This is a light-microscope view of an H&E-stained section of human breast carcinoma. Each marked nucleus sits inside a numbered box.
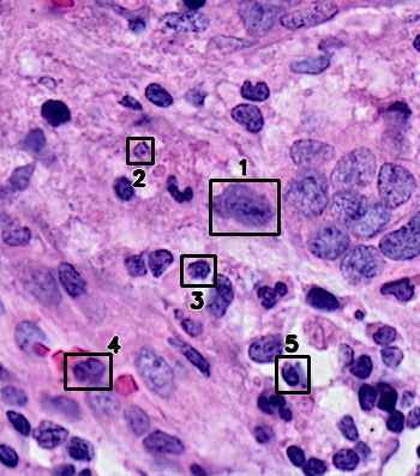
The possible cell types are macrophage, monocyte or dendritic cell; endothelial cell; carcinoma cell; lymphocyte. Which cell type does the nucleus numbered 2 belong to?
macrophage, monocyte or dendritic cell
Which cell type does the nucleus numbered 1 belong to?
carcinoma cell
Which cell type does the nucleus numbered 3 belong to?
lymphocyte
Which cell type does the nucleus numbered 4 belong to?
endothelial cell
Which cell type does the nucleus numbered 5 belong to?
lymphocyte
